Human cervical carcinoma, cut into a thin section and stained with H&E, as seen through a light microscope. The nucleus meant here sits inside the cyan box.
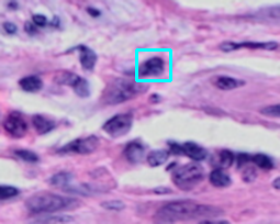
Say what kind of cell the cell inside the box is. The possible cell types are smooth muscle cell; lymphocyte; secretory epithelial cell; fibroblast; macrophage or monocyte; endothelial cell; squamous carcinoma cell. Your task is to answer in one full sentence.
What the cell inside the box represents is a lymphocyte.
